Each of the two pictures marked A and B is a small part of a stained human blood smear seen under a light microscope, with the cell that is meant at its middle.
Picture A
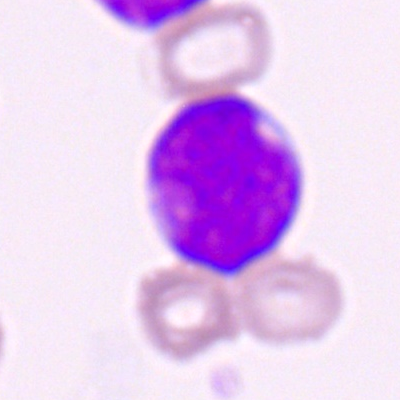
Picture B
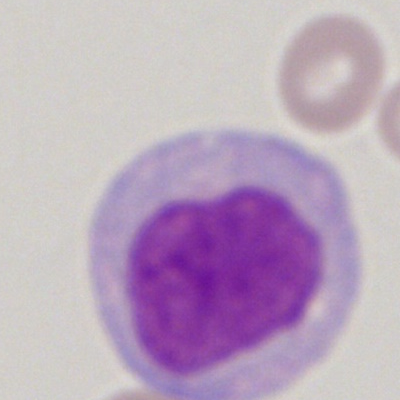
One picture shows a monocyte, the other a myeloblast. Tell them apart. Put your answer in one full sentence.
In picture A the cell is a myeloblast; in picture B, a monocyte.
